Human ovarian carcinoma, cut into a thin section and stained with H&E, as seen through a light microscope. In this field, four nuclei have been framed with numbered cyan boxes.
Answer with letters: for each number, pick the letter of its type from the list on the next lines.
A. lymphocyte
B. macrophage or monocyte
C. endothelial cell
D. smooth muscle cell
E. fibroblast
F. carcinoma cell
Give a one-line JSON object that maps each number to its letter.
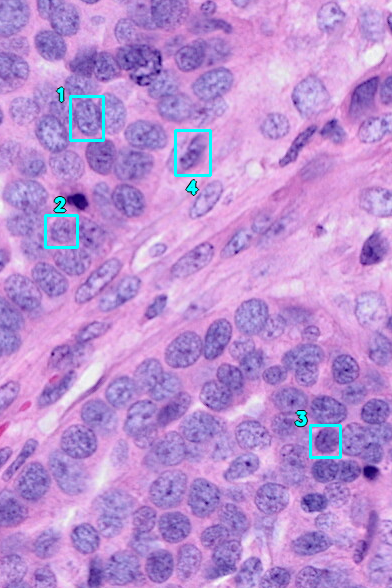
{"1": "F", "2": "F", "3": "F", "4": "E"}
